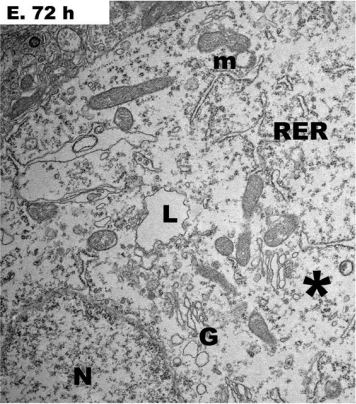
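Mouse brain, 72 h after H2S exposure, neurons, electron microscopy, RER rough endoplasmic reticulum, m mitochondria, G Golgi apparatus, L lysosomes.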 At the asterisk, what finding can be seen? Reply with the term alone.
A: The cytoplasm is rarefied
